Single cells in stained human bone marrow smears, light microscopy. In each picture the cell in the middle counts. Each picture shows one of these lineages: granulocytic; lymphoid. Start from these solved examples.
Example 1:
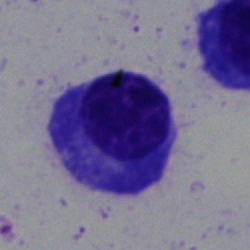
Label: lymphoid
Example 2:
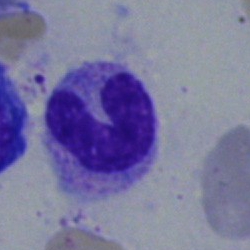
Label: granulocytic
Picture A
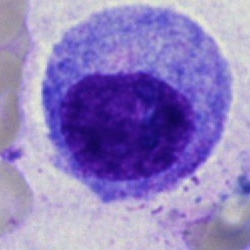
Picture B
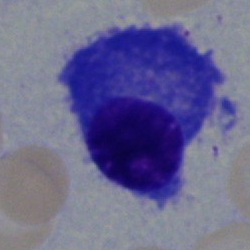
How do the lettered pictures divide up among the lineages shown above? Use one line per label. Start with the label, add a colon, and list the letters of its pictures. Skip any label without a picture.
granulocytic: A
lymphoid: B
